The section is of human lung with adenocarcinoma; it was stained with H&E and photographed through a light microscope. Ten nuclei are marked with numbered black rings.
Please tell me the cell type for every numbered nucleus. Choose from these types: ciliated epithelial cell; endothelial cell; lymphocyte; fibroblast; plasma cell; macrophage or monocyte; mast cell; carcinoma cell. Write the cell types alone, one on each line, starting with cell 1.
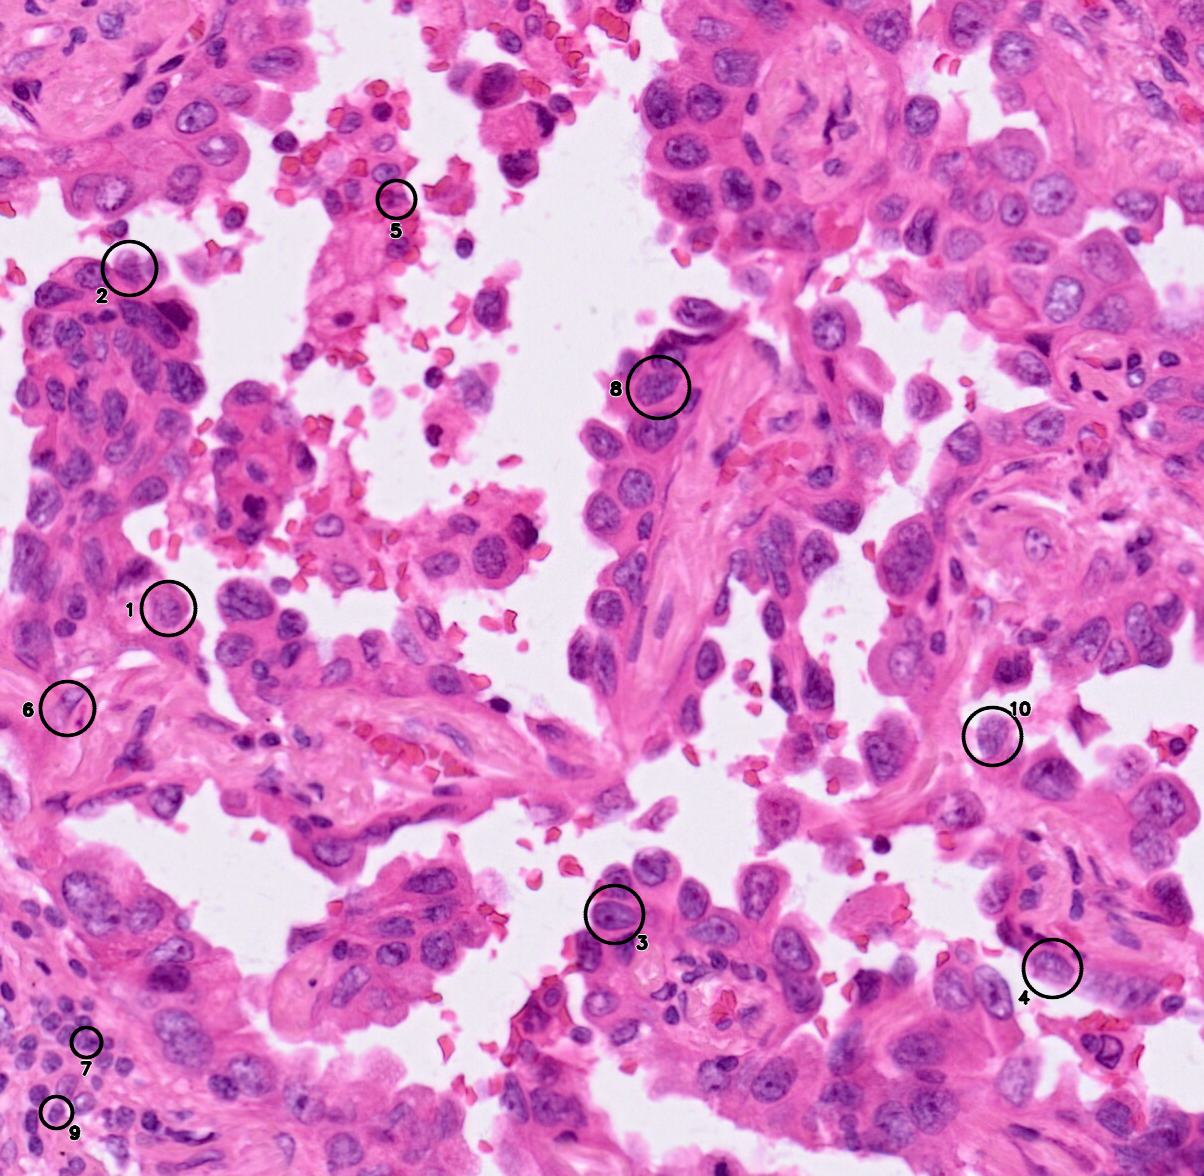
carcinoma cell
carcinoma cell
carcinoma cell
carcinoma cell
macrophage or monocyte
fibroblast
lymphocyte
carcinoma cell
lymphocyte
carcinoma cell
